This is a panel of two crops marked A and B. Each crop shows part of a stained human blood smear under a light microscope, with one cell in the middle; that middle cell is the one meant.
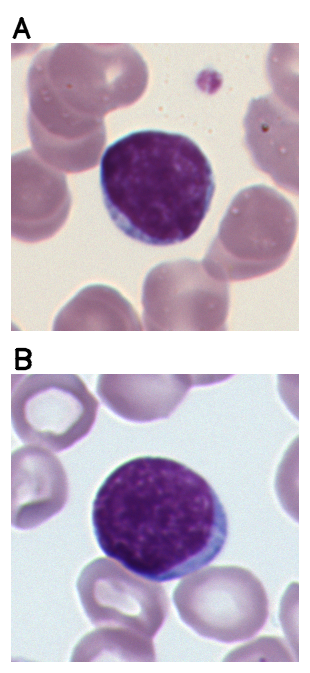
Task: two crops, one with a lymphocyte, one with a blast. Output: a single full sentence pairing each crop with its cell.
In this set, crop A shows a lymphocyte and crop B shows a blast.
